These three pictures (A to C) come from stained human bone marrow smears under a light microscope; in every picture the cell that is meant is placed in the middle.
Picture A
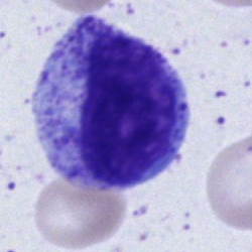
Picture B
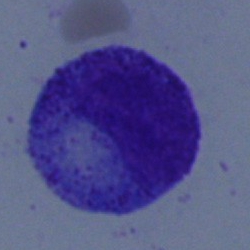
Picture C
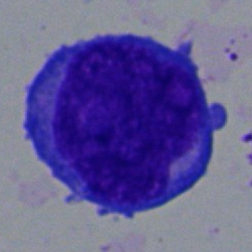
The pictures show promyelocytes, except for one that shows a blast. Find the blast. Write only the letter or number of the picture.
C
